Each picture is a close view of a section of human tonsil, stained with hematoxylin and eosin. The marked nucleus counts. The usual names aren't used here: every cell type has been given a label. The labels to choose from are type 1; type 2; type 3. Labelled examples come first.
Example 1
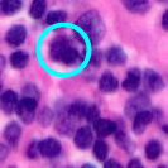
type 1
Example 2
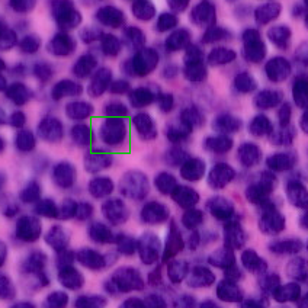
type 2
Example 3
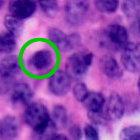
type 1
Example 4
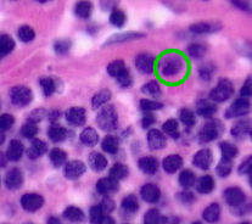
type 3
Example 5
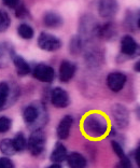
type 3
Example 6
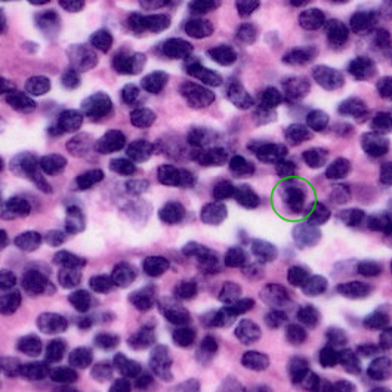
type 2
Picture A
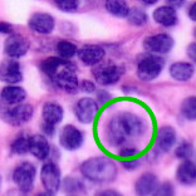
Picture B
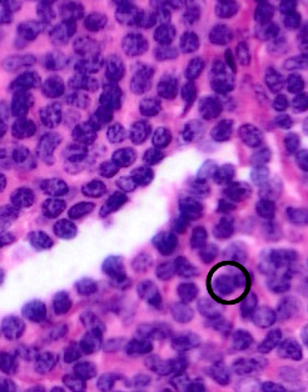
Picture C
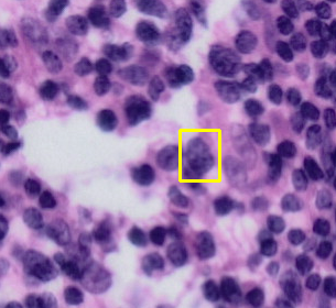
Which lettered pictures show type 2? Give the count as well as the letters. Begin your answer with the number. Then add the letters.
1: B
